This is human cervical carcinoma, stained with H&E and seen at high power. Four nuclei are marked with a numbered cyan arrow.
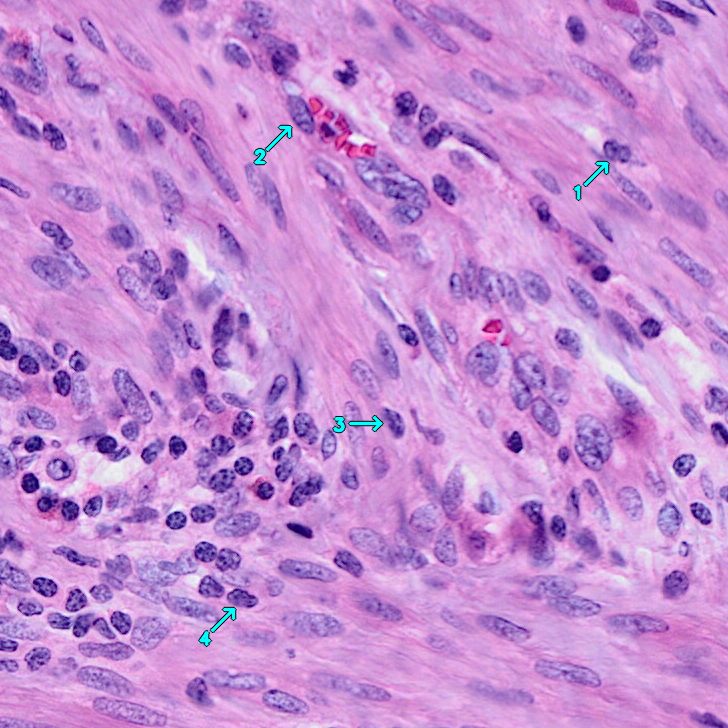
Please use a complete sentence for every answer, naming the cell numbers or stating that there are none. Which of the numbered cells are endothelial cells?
Only the nucleus marked 2 is that of an endothelial cell.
